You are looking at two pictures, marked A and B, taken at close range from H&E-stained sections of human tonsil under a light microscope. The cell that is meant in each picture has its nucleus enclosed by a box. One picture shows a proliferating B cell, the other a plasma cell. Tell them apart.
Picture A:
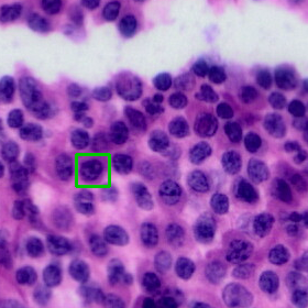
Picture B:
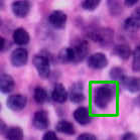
A: plasma cell
B: proliferating B cell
